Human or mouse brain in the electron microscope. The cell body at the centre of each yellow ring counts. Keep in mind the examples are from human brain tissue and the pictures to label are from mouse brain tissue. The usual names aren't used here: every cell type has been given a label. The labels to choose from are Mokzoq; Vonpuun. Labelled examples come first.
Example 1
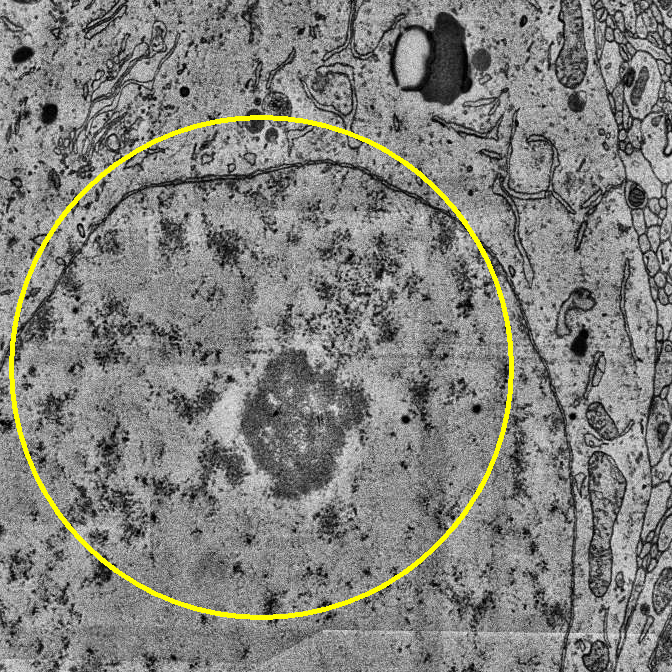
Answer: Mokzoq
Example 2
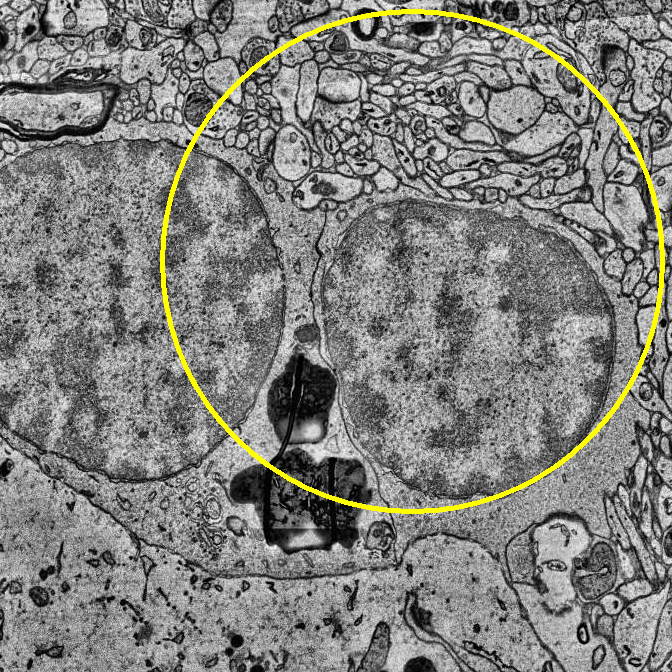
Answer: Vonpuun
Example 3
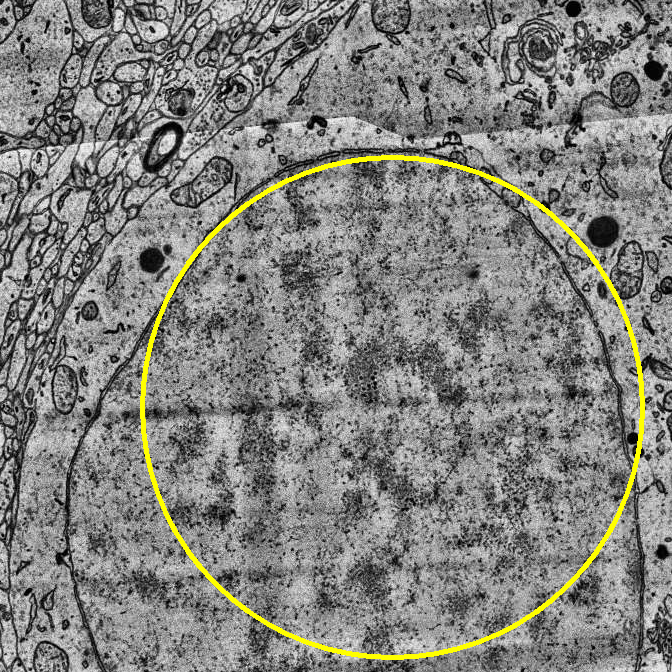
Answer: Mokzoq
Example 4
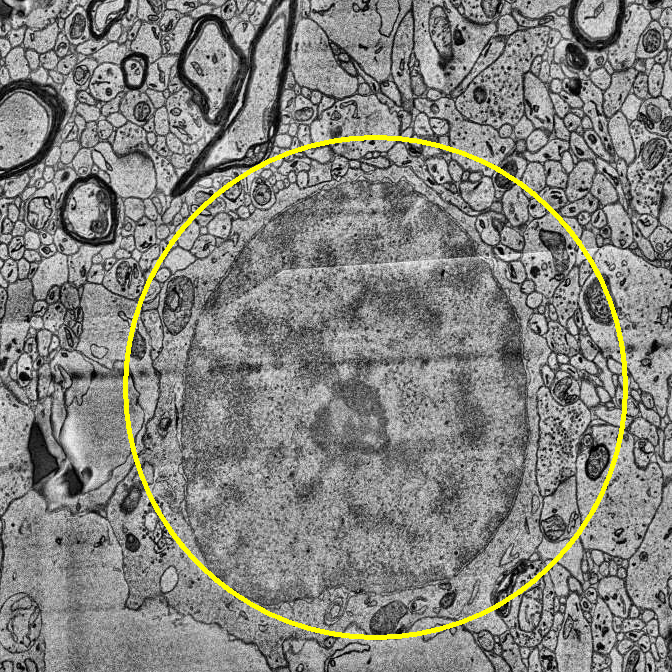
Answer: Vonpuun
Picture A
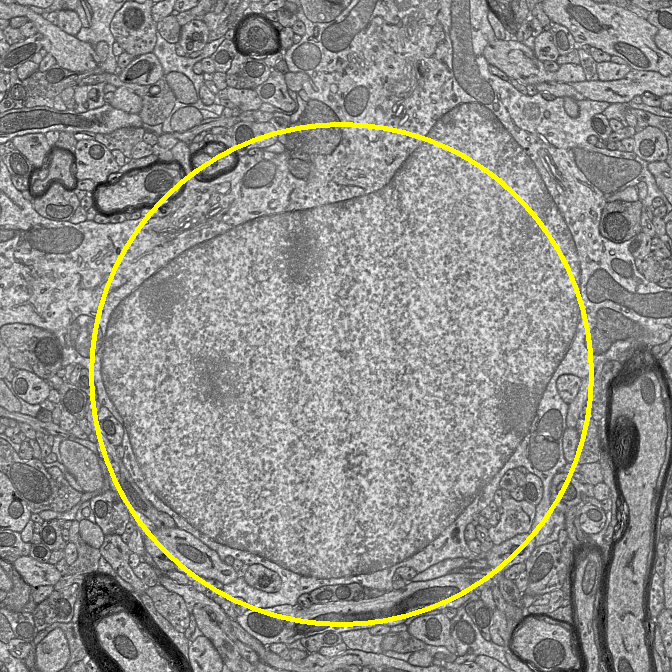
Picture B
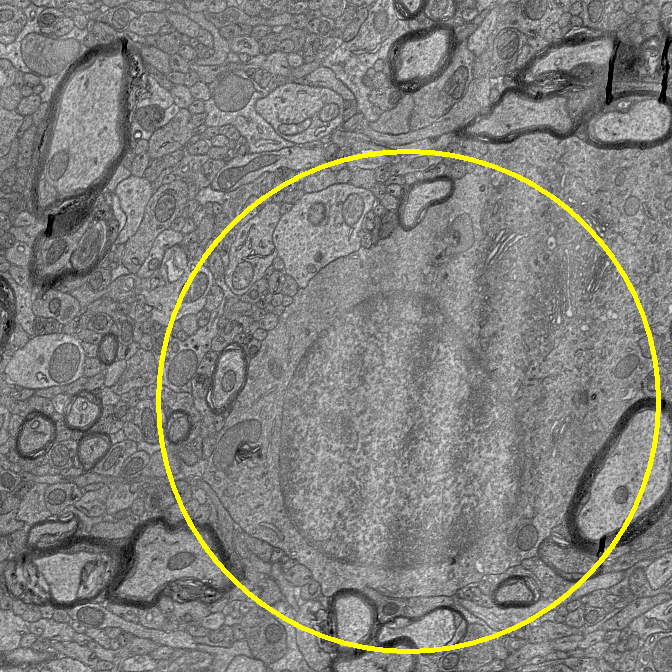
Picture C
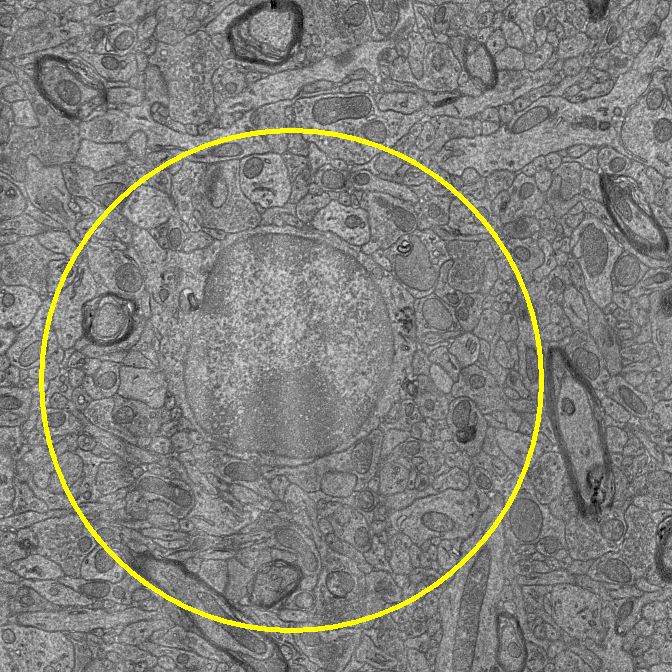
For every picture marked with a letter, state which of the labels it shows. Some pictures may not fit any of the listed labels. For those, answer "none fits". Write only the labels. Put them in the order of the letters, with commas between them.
none fits, Vonpuun, Vonpuun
